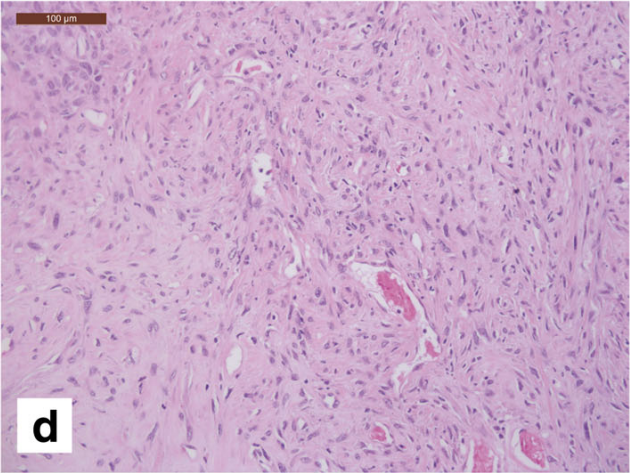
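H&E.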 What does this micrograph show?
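Spindle cell tumor with cells loosely arranged in a pale pink stroma. Nuclei are oval to plump spindle-shaped with fine chromatin and no prominent nucleoli. Cytoplasm is pale pink-purple with ill-defined borders. Small thin-walled vessels containing red blood cells are scattered unevenly between the cells.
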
